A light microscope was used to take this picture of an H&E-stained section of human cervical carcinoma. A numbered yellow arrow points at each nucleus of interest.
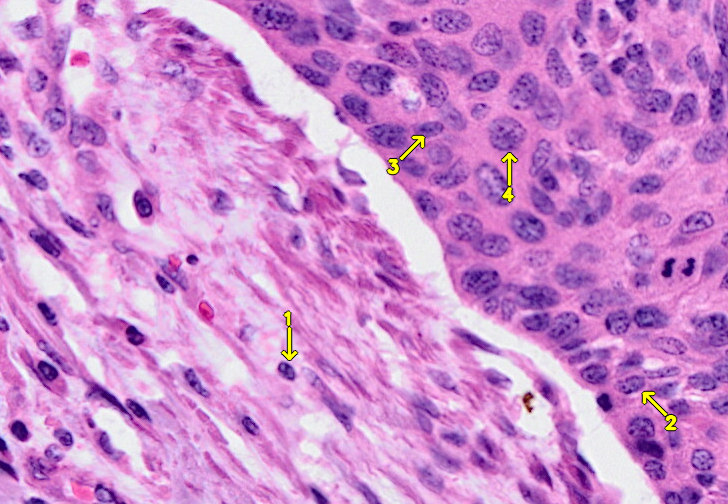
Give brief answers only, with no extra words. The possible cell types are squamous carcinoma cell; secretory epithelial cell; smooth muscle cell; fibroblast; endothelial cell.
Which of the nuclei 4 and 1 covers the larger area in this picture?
4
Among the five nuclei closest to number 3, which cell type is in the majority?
squamous carcinoma cell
